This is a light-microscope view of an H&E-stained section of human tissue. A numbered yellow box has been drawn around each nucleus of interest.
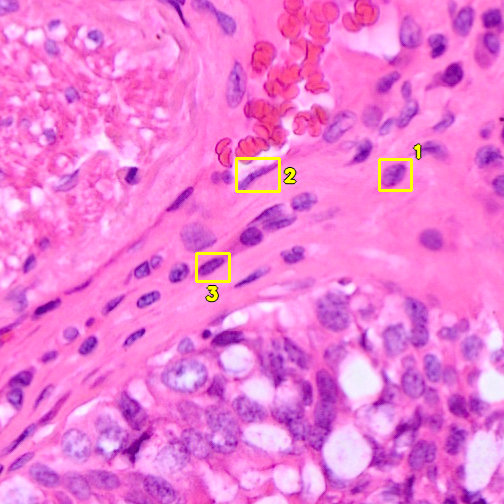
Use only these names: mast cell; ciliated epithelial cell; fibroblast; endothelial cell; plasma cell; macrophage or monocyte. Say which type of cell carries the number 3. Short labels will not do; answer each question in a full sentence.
Number 3 among the marked cells is a plasma cell.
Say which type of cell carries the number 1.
The cell pointed out by number 1 is a mast cell.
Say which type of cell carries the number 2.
The nucleus labelled 2 belongs to an endothelial cell.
